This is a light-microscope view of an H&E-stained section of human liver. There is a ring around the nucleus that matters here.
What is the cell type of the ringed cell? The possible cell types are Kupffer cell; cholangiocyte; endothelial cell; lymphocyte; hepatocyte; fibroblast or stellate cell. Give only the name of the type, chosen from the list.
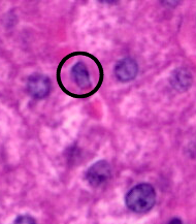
endothelial cell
